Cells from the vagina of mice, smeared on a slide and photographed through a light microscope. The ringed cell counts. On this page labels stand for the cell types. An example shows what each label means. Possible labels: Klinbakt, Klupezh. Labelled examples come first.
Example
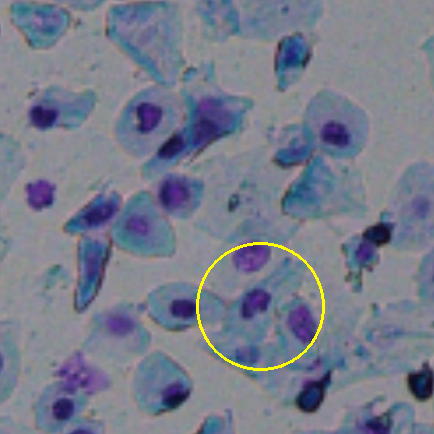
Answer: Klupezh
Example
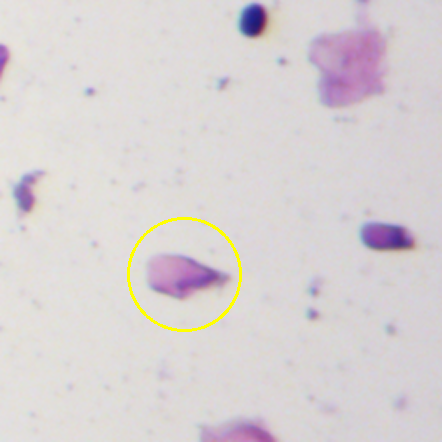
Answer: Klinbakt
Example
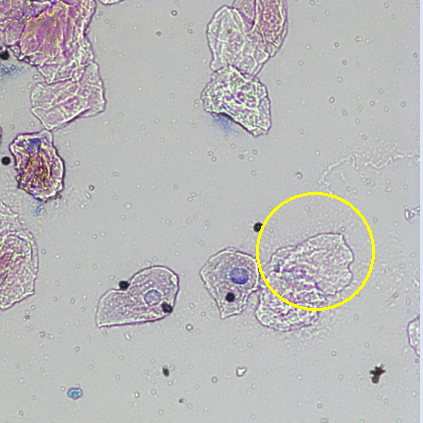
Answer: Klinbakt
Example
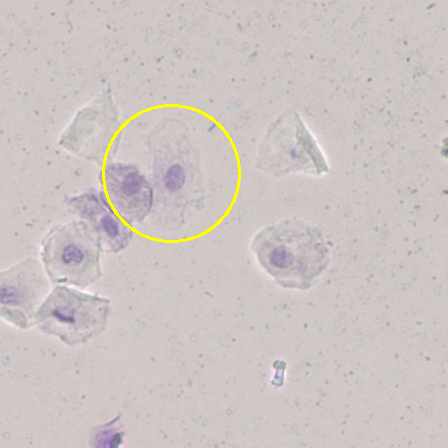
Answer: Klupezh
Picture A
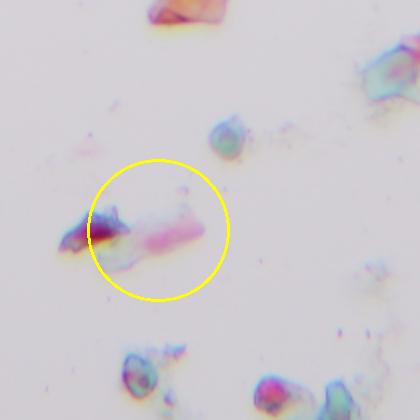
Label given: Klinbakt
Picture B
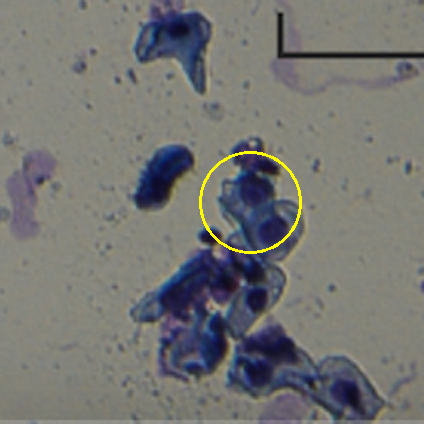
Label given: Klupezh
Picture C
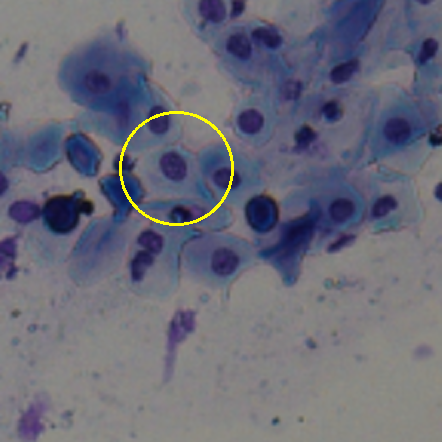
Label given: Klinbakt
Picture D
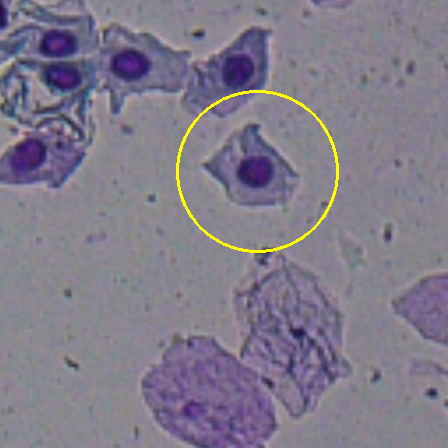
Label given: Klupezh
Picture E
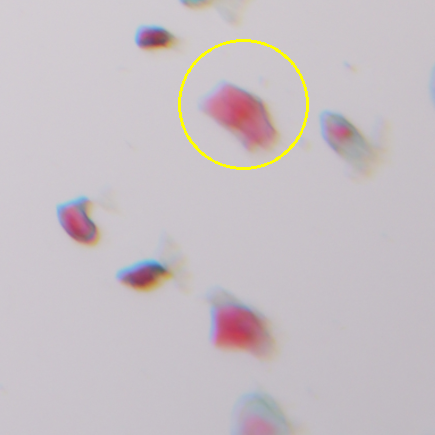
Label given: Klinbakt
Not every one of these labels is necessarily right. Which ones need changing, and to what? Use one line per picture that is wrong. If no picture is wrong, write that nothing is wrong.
C: not Klinbakt but Klupezh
